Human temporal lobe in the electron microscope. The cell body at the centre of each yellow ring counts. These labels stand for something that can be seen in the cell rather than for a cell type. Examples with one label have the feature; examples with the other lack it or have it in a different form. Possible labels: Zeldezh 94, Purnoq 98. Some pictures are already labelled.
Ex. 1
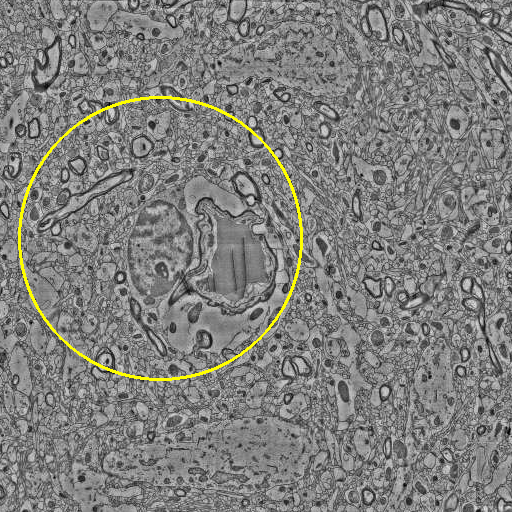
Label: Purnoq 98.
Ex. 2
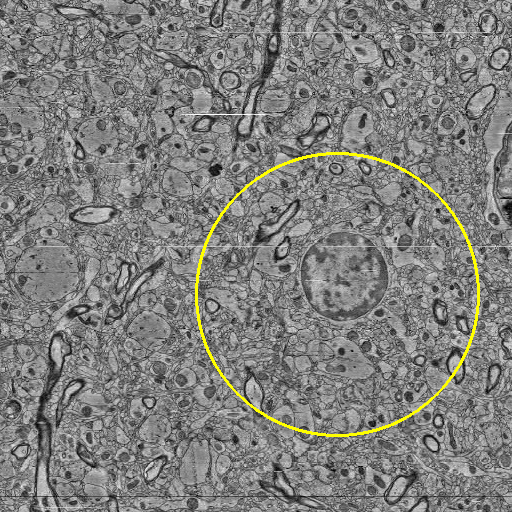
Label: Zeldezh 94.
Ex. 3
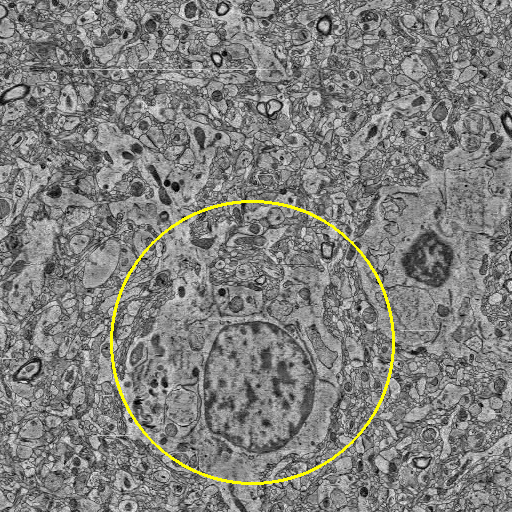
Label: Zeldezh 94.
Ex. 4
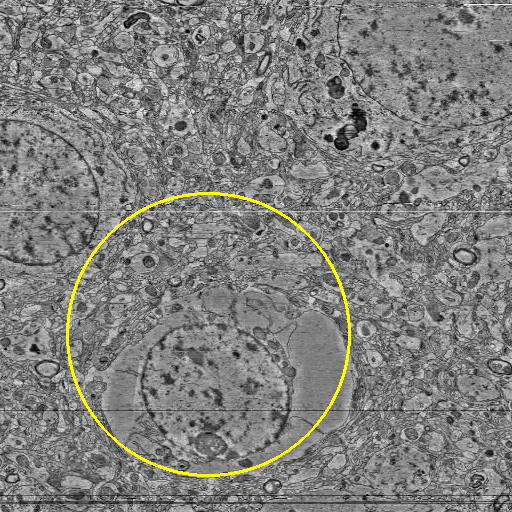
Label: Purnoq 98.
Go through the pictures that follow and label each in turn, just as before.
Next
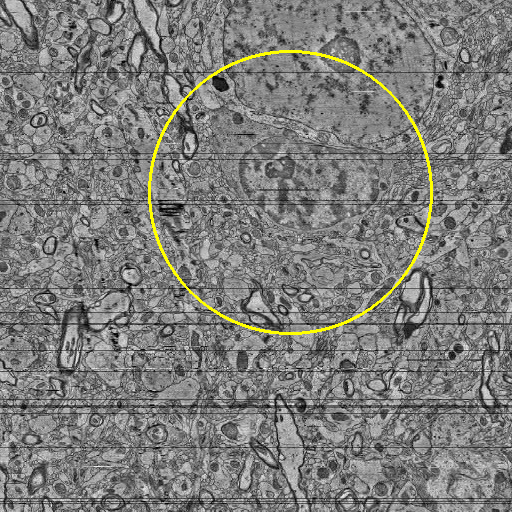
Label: Purnoq 98.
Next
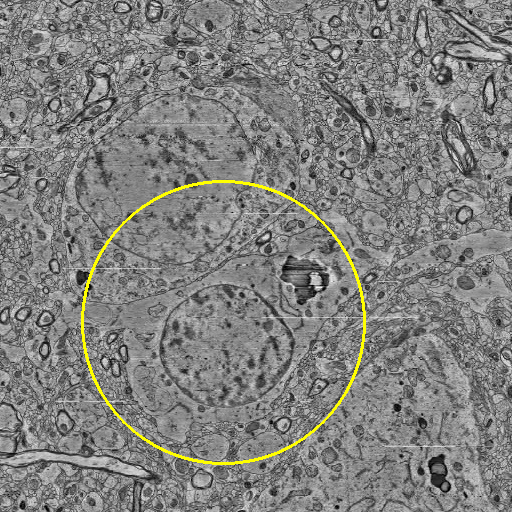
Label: Zeldezh 94.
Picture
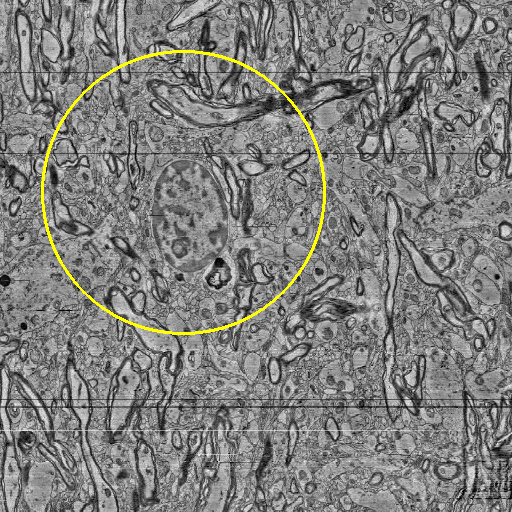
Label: Purnoq 98.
